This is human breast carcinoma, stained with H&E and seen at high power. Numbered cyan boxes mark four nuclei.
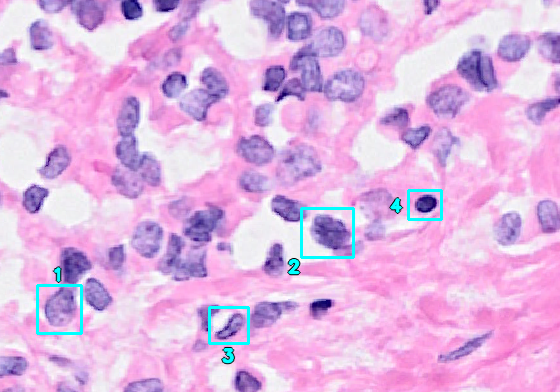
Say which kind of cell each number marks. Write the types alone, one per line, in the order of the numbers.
carcinoma cell
carcinoma cell
endothelial cell
lymphocyte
